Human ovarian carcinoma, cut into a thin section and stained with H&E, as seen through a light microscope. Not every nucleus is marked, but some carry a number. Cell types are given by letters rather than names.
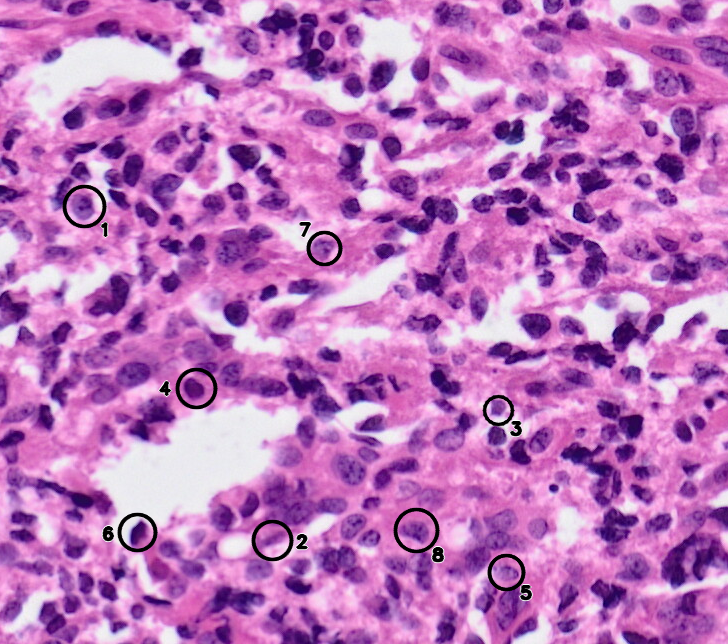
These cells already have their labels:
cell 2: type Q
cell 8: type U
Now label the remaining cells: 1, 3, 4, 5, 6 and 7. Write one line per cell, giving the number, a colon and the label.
1: type U
3: type Q
4: type Q
5: type U
6: type Q
7: type U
